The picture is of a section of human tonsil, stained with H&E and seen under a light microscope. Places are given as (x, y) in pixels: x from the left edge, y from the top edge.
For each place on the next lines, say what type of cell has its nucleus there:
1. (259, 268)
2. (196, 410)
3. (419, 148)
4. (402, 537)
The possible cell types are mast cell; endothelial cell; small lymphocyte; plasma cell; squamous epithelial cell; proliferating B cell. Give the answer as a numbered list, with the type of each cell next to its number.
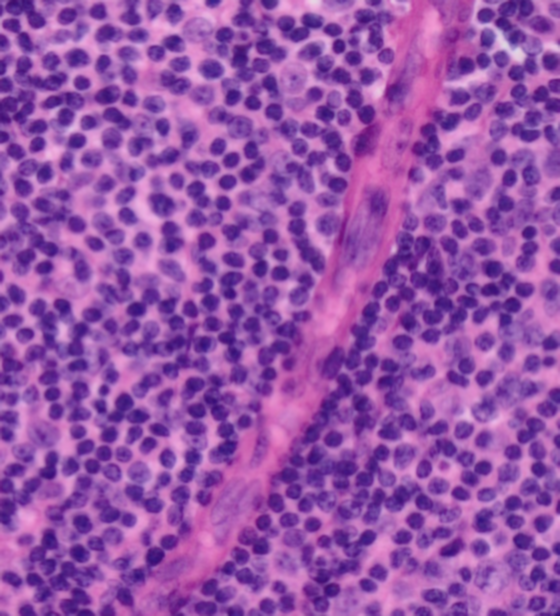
1. small lymphocyte
2. small lymphocyte
3. endothelial cell
4. small lymphocyte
